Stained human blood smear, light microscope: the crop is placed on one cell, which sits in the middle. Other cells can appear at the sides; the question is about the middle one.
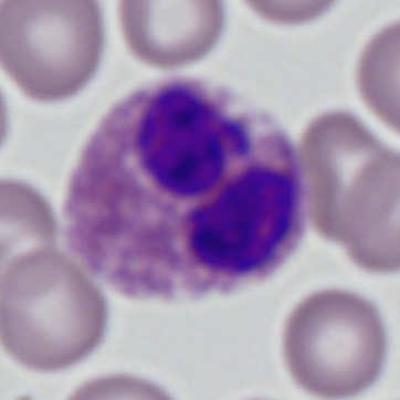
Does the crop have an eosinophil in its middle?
yes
